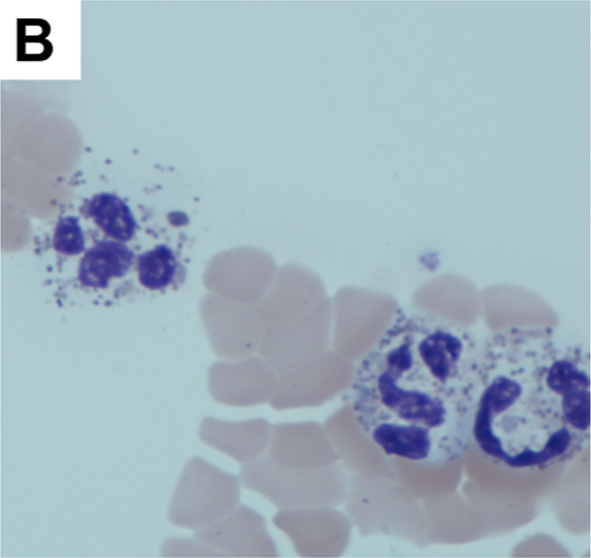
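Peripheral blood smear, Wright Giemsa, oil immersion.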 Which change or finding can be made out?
Enlarged, variably-sized cytoplasmic granules.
